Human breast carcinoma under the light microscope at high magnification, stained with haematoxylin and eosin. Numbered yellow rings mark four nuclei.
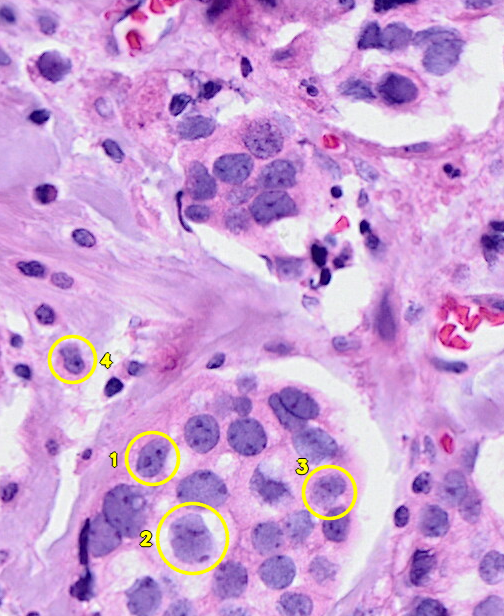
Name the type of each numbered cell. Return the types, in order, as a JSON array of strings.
["carcinoma cell", "carcinoma cell", "carcinoma cell", "mast cell"]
